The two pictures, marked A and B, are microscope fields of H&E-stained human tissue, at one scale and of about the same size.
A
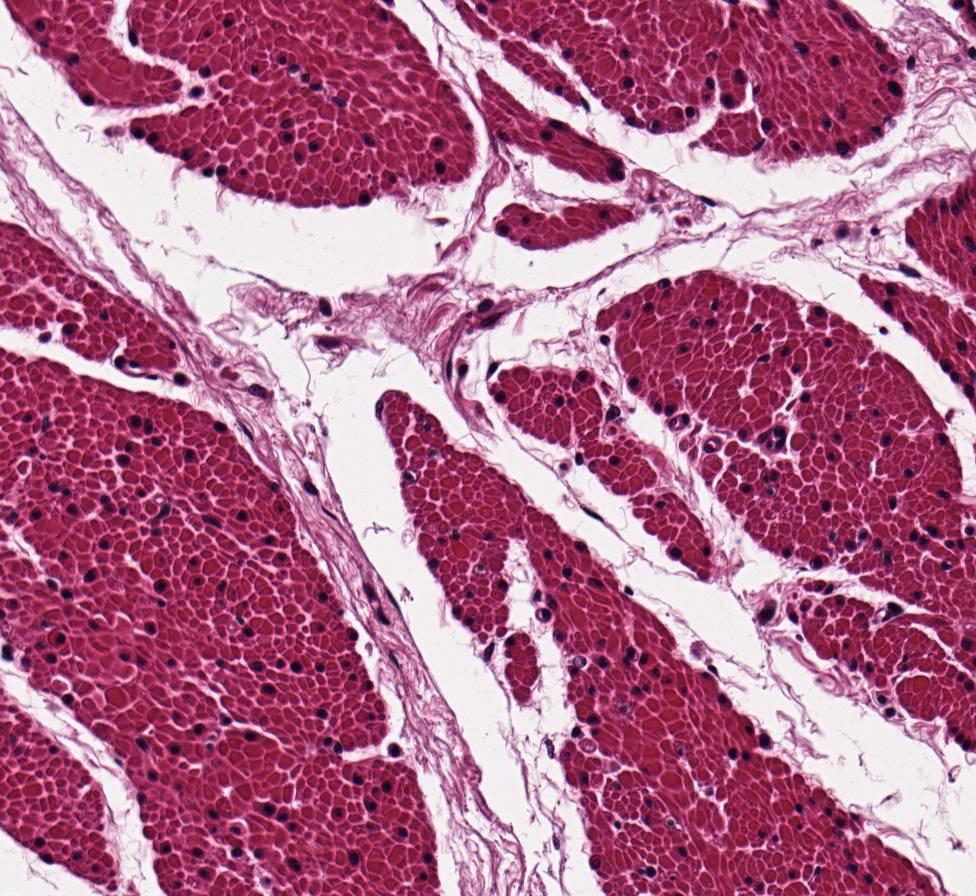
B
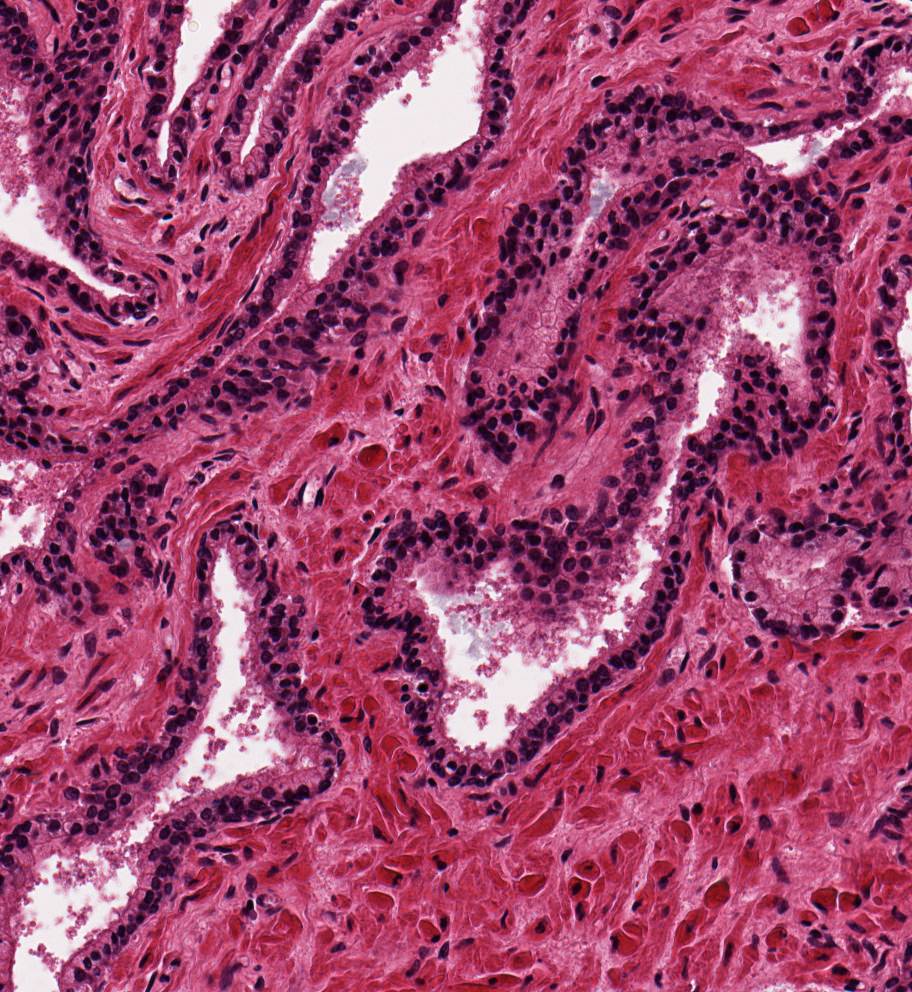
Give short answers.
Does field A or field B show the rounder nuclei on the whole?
A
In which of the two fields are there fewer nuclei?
A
